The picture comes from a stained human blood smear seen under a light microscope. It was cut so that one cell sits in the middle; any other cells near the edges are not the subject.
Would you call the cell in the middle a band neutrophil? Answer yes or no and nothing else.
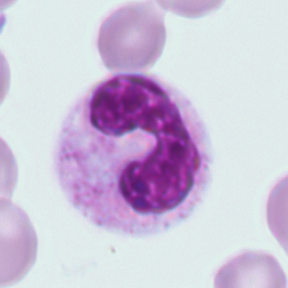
yes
